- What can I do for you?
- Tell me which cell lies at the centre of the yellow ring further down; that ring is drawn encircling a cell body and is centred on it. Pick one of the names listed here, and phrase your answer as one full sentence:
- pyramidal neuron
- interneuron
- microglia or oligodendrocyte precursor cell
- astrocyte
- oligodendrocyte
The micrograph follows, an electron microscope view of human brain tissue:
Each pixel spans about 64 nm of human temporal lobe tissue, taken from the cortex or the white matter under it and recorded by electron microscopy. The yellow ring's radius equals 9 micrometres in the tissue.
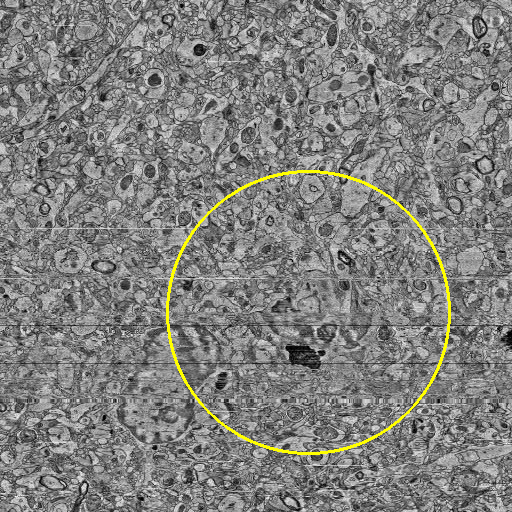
The cell whose body lies at the centre of the yellow ring is an oligodendrocyte.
